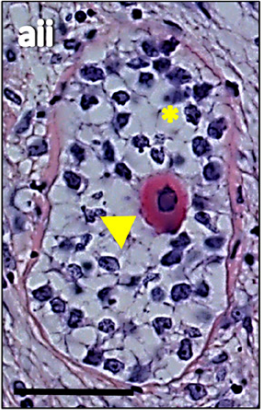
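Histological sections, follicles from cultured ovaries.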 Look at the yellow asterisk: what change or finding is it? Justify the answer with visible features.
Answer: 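Many surrounding cells have small, very dark, compact nuclei. The tissue around them looks pale and loosened.
Hence: condensed chromatin.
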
